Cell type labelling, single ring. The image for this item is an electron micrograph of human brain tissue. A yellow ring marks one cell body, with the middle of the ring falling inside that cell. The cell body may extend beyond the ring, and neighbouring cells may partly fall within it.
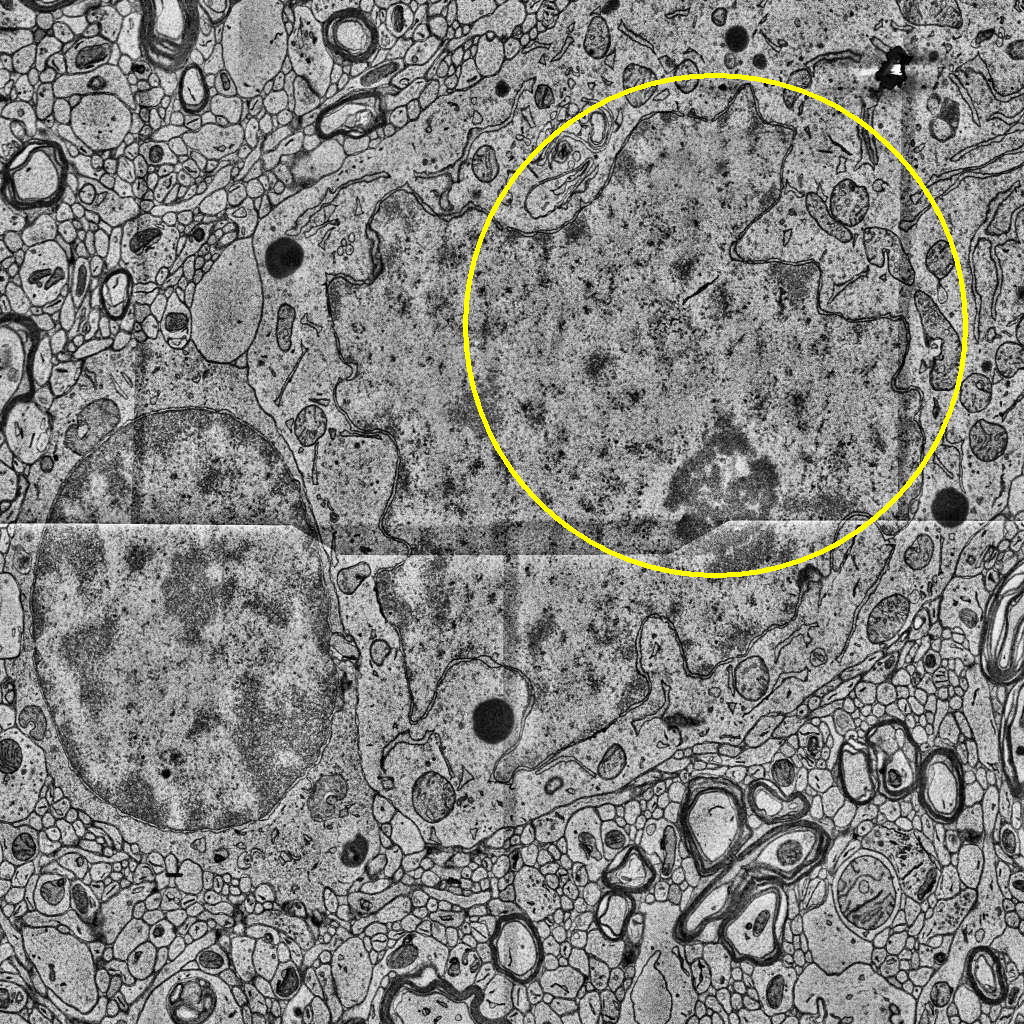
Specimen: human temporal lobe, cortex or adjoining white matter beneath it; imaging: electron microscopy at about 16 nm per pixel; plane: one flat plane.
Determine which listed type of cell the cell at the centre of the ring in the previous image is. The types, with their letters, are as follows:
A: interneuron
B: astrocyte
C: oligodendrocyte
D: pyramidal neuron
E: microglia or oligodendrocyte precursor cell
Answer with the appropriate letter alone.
A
